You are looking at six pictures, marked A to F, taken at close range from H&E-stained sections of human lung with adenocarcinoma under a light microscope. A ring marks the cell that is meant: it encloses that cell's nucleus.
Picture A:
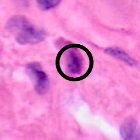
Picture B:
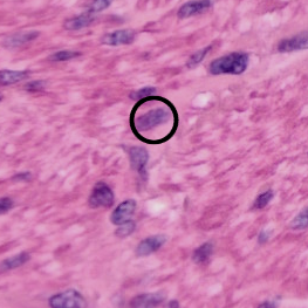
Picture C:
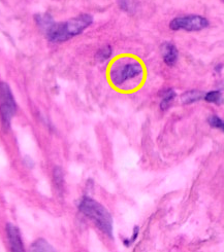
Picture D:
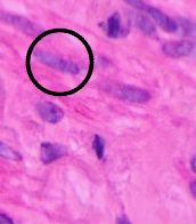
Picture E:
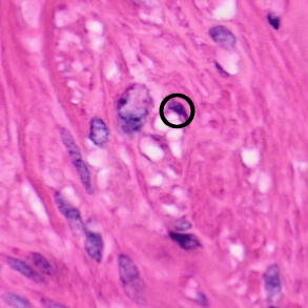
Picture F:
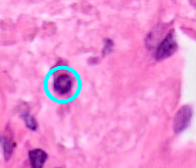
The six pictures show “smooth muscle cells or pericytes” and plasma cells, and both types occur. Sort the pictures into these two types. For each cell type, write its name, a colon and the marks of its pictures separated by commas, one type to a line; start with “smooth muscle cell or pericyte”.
smooth muscle cell or pericyte: B, C, D, E
plasma cell: A, F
